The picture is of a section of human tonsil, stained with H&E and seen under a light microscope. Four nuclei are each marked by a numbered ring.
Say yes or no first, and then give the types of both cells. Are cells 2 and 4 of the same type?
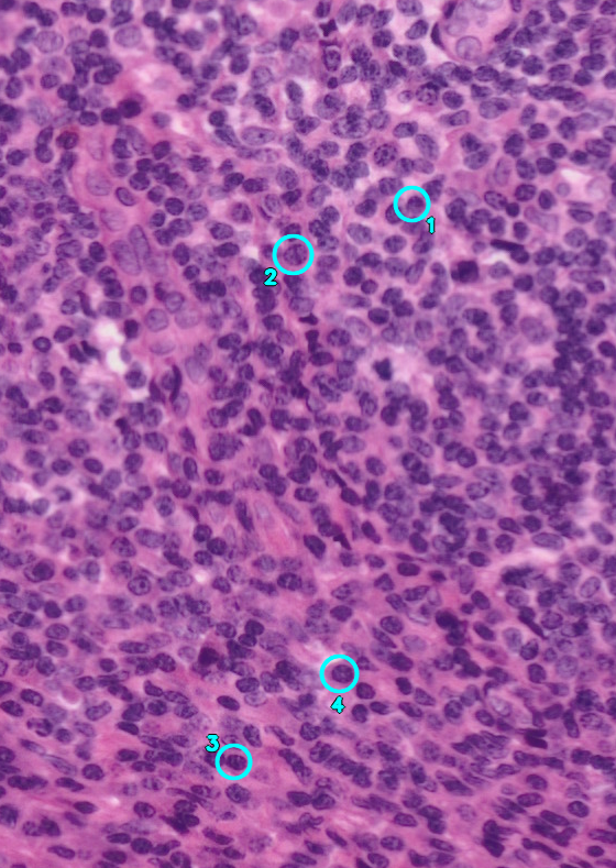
Yes, both cell 2 and cell 4 are classified as plasma cells.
